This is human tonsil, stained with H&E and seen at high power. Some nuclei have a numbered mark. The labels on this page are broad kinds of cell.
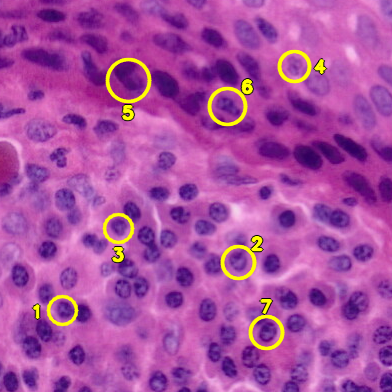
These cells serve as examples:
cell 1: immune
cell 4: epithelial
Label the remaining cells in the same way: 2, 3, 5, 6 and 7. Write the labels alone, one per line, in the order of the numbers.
immune
immune
epithelial
epithelial
immune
